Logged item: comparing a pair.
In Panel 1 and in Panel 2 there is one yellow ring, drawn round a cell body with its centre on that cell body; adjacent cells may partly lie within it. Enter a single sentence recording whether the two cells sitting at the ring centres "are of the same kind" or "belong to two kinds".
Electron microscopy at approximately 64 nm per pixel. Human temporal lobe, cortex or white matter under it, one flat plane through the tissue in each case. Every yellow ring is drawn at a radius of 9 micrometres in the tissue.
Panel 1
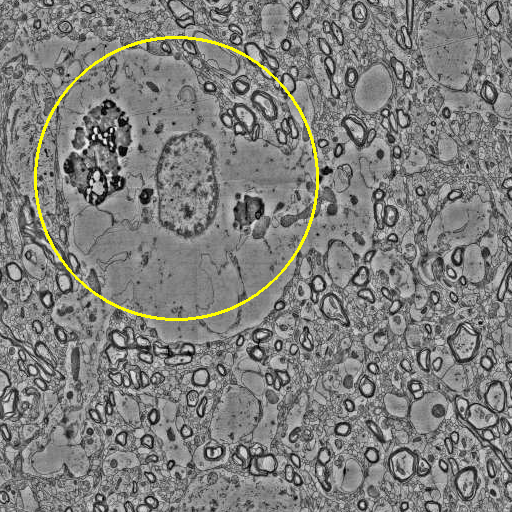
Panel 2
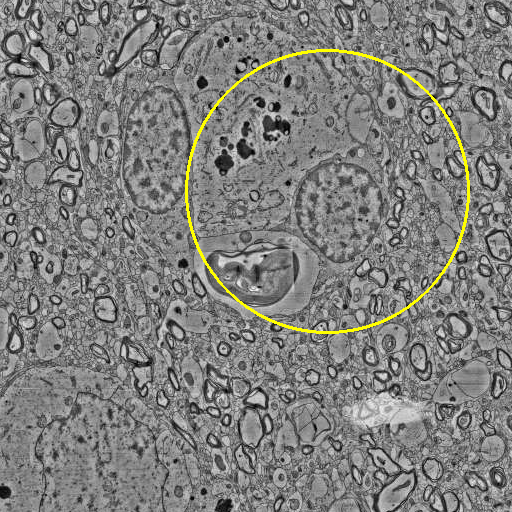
Logged: the cells centred in the rings of Panel 1 and Panel 2 belong to two kinds.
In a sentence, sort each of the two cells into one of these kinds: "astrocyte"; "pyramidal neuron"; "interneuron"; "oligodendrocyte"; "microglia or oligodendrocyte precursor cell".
The first of the two cells is an astrocyte, and the second is an oligodendrocyte.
